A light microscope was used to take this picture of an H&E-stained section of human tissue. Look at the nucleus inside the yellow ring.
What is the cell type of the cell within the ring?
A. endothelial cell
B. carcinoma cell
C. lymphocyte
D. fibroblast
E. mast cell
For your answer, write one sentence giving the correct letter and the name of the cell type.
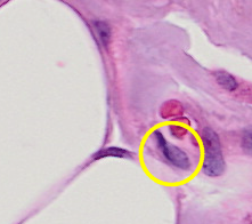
Here the correct option is A, since the cell within the ring is an endothelial cell.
